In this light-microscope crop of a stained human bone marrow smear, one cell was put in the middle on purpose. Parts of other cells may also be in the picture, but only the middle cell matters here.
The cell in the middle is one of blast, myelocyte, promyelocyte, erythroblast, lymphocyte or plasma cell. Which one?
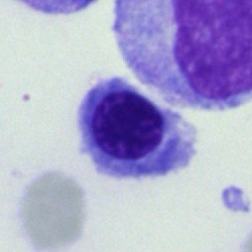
erythroblast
